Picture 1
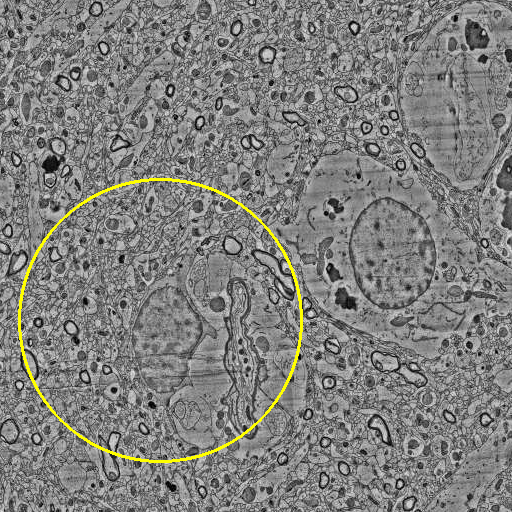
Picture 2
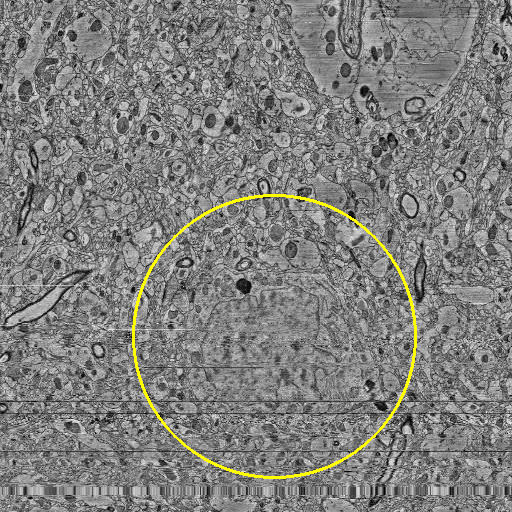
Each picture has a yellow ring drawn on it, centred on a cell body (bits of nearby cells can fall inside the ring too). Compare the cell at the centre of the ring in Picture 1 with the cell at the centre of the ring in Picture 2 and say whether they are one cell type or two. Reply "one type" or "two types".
two types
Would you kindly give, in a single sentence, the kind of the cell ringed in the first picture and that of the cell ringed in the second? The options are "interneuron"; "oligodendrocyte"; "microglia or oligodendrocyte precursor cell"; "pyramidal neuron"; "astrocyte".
The second cell is an interneuron, and the first cell is an oligodendrocyte.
